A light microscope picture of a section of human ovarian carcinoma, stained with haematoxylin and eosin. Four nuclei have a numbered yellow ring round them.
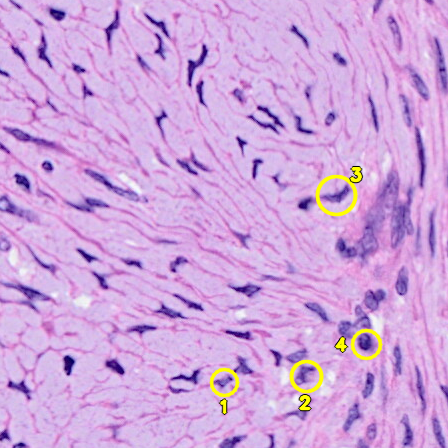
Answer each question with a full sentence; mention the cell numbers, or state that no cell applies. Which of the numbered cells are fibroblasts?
The cells tagged with numbers 1, 2 and 3 are fibroblasts.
